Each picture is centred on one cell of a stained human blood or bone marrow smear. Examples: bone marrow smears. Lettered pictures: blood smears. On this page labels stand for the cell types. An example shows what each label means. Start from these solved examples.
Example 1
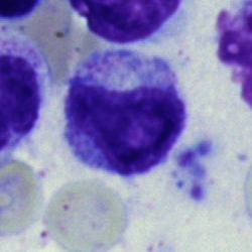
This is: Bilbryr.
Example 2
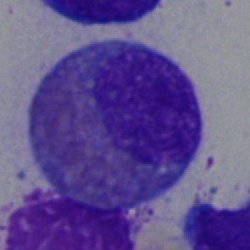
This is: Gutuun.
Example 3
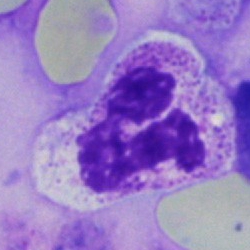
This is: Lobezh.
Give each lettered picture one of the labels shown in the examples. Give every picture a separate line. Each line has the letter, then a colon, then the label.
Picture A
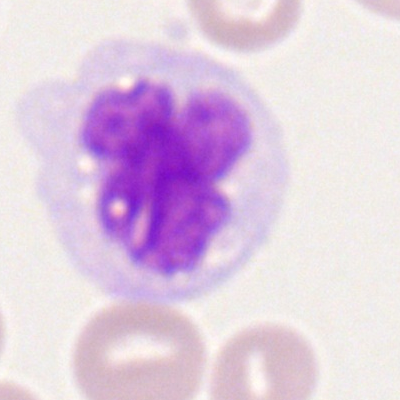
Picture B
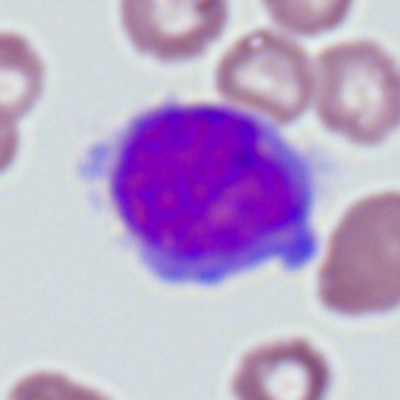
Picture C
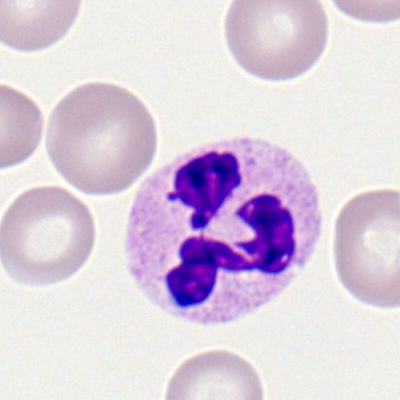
A: Bilbryr.
B: Bilbryr.
C: Lobezh.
